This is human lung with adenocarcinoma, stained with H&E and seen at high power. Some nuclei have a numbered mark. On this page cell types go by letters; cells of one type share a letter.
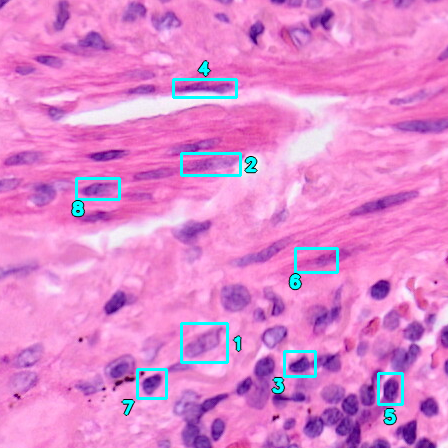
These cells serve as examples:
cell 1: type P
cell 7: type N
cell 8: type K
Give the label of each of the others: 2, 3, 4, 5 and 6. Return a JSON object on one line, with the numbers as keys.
{"2": "type K", "3": "type N", "4": "type K", "5": "type N", "6": "type K"}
